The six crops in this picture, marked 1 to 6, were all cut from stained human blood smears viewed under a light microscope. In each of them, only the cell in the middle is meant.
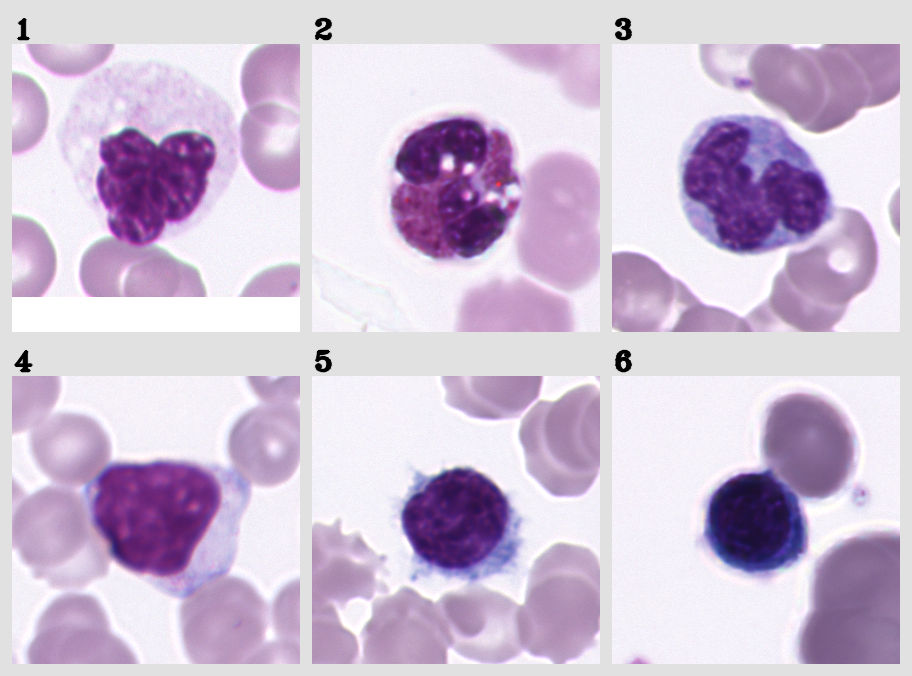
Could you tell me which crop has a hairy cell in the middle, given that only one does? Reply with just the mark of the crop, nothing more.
5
